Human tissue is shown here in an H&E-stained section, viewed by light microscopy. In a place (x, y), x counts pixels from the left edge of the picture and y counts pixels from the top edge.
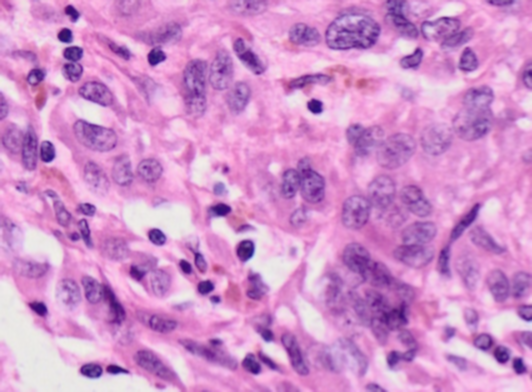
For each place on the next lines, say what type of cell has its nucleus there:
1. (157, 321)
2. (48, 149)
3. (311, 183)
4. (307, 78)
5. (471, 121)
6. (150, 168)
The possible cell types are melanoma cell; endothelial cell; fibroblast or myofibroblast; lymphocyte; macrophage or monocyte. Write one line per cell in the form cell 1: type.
cell 1: melanoma cell
cell 2: lymphocyte
cell 3: melanoma cell
cell 4: macrophage or monocyte
cell 5: melanoma cell
cell 6: melanoma cell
